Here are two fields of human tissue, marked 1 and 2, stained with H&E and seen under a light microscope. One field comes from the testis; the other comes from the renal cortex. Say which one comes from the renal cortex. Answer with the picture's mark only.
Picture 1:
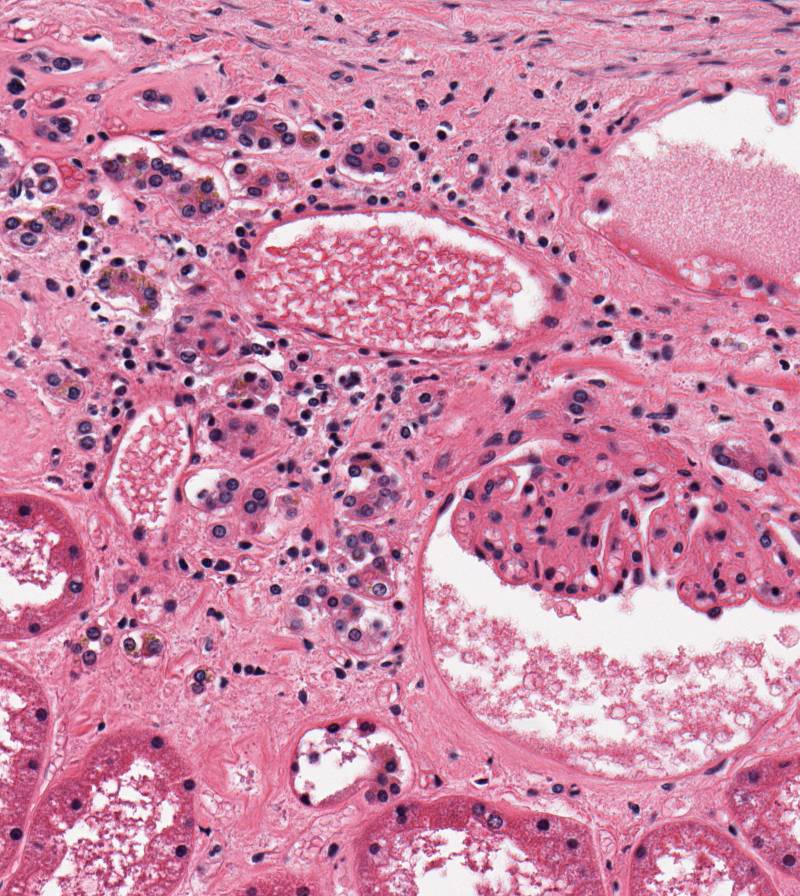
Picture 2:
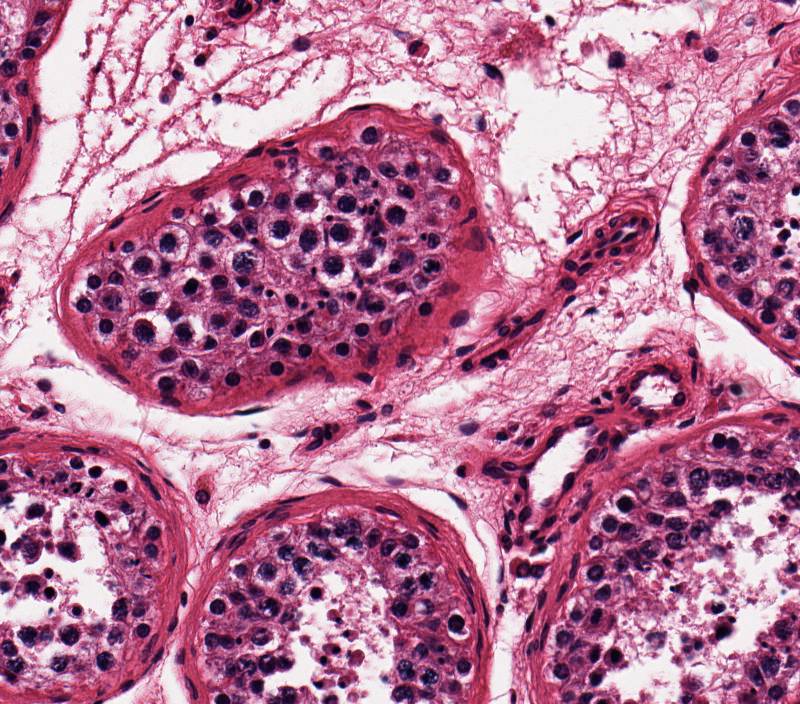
1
